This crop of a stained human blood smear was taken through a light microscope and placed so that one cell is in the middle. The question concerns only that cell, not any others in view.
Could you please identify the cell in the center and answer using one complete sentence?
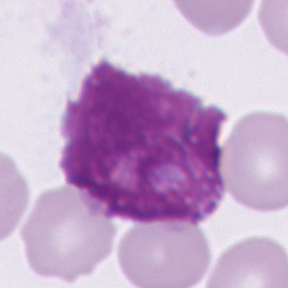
The cell positioned in the middle of the field is a smudge cell.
